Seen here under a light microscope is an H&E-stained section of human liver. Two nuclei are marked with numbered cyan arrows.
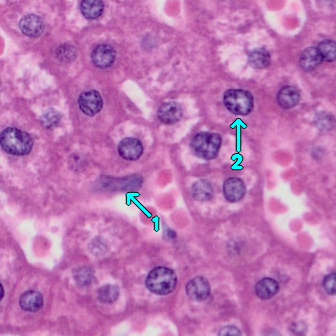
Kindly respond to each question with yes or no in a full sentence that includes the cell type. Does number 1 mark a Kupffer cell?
Yes, the cell at number 1 is a Kupffer cell.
